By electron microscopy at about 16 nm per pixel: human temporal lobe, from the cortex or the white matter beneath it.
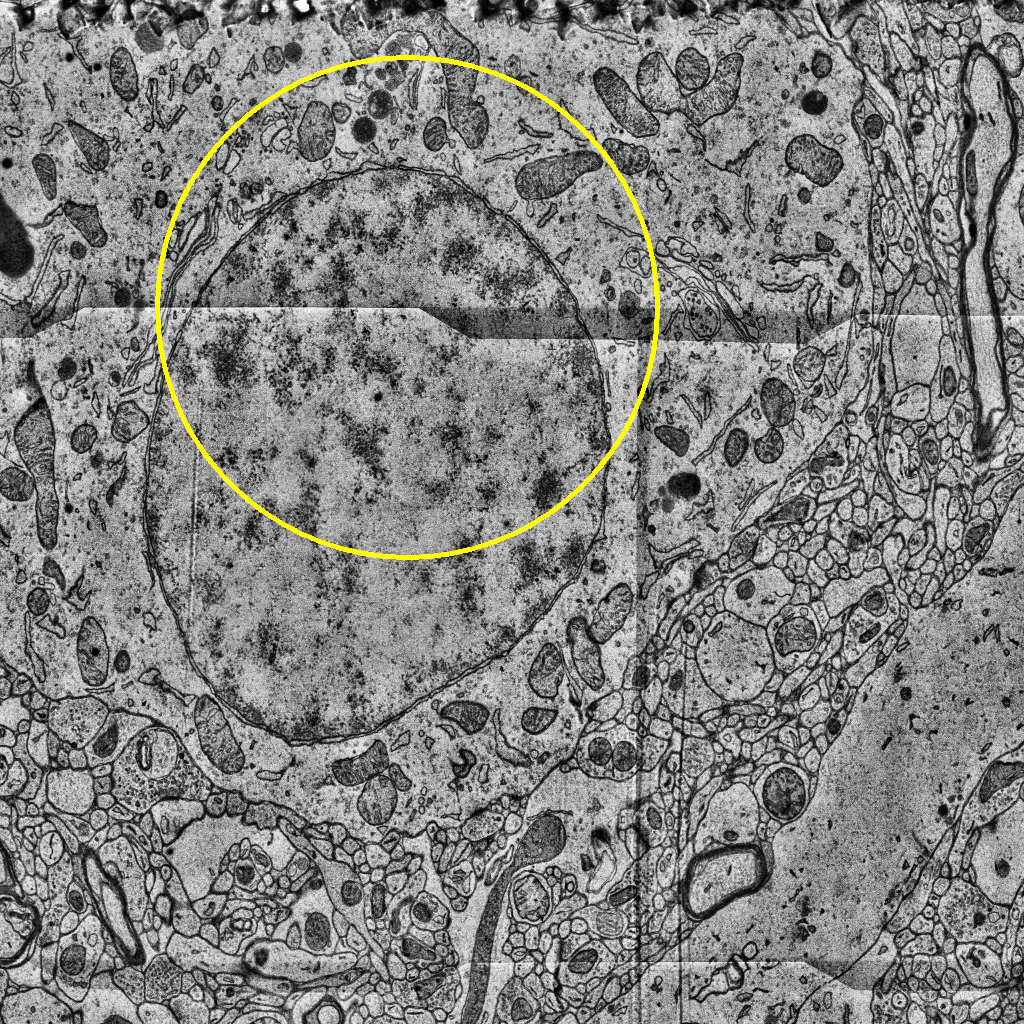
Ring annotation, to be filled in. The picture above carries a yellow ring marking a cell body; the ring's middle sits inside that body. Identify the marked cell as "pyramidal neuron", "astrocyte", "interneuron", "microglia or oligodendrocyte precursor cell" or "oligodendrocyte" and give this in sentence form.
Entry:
The cell at the middle of the ring is an interneuron.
